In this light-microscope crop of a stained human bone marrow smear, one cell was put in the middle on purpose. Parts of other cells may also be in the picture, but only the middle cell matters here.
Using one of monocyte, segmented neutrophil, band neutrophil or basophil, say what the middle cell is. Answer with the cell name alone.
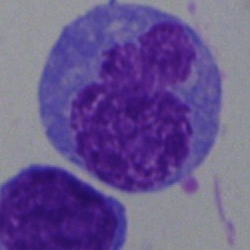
monocyte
